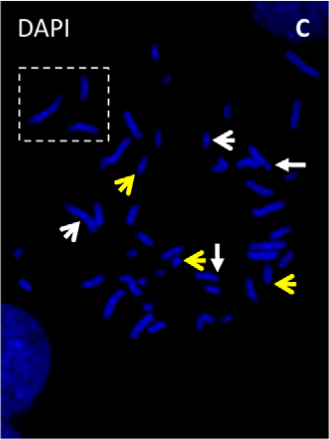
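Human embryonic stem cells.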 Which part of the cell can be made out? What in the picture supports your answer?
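Many separate rod-shaped condensed bodies are spread across the field. Interphase nuclei at the corners are round and diffusely stained, unlike the rods. On this evidence: Metaphase chromosomes.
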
